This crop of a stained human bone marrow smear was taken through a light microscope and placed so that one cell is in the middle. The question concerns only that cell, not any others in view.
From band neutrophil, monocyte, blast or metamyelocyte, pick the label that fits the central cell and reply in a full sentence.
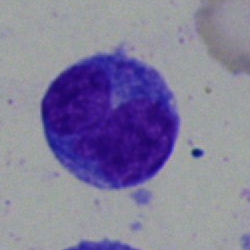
To answer, the cell in the center of the crop is a blast.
